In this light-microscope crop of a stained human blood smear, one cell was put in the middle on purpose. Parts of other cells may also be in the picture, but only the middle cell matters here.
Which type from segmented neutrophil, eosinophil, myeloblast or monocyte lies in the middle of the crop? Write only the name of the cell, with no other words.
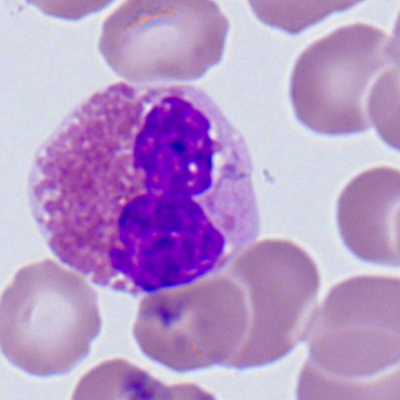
eosinophil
